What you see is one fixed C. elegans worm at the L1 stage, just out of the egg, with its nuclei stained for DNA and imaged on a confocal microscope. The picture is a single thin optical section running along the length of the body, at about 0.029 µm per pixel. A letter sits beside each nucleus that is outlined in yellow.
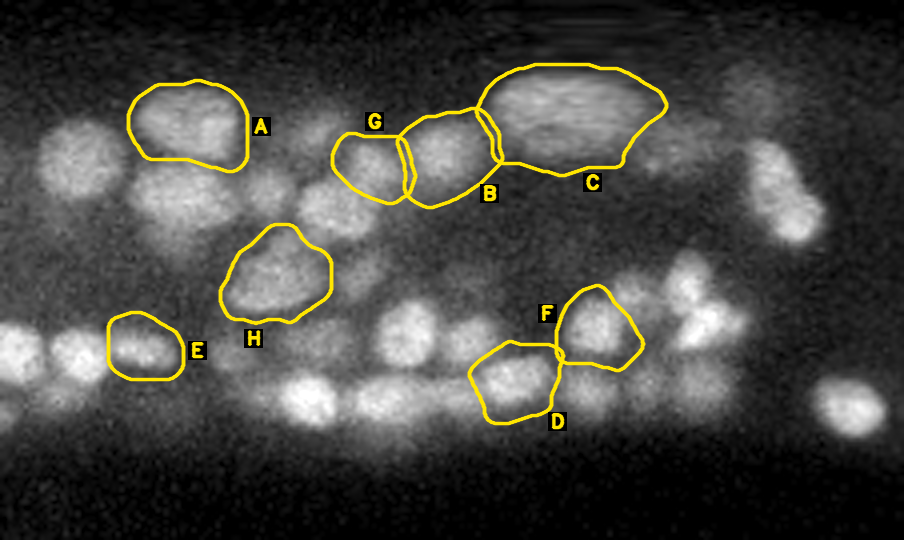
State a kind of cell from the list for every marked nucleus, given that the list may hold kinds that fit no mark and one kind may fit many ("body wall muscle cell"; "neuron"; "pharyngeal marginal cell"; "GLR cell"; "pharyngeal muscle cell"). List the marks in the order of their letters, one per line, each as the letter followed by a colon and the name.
A: body wall muscle cell
B: pharyngeal muscle cell
C: pharyngeal muscle cell
D: neuron
E: neuron
F: pharyngeal marginal cell
G: neuron
H: pharyngeal marginal cell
